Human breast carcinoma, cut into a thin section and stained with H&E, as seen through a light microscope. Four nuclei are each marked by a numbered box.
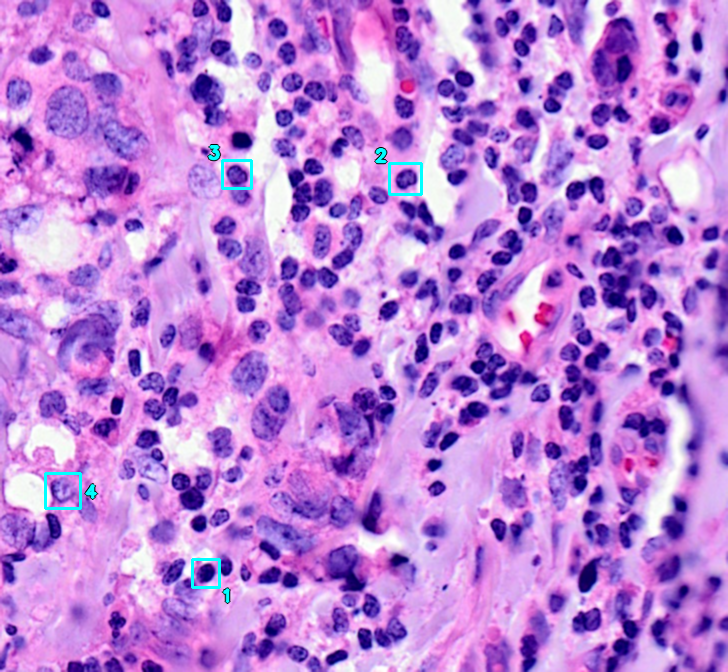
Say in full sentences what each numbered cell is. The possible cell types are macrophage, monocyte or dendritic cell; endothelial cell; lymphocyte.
Cell 1 is a lymphocyte, cell 2 is a lymphocyte, cell 3 is a lymphocyte and cell 4 is a macrophage, monocyte or dendritic cell.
